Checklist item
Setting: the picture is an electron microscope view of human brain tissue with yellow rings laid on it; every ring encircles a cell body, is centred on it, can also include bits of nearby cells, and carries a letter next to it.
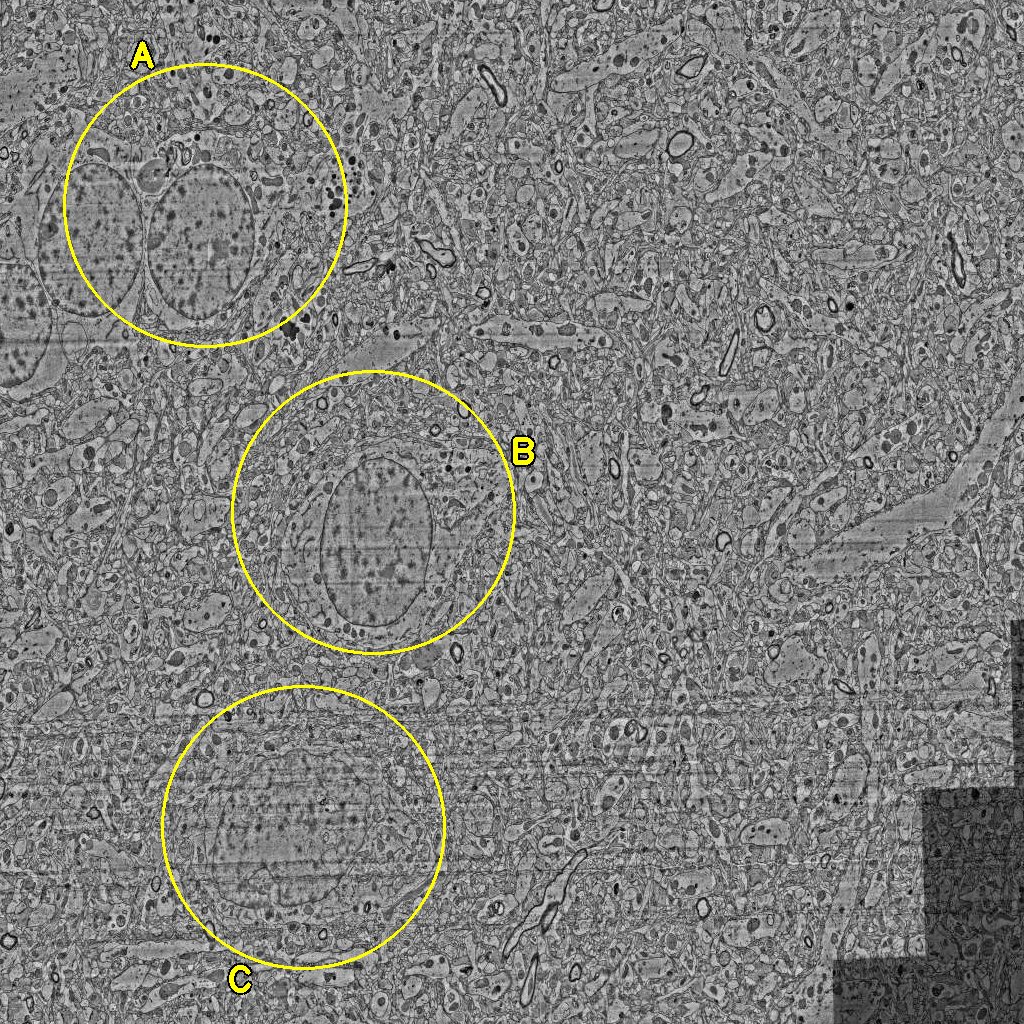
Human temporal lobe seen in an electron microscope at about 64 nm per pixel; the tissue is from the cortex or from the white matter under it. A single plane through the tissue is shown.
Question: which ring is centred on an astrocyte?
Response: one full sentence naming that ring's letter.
My response is that ring A has the sought cell at its centre.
